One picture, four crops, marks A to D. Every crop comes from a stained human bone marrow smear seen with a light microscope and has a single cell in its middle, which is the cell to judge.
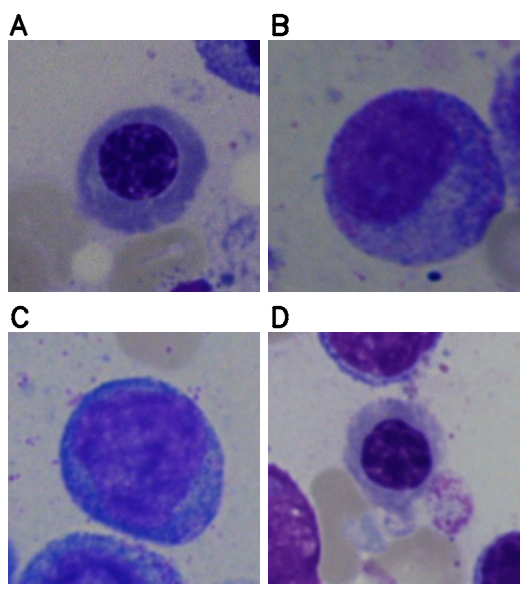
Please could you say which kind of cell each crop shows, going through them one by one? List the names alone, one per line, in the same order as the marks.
erythroblast
promyelocyte
blast
erythroblast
